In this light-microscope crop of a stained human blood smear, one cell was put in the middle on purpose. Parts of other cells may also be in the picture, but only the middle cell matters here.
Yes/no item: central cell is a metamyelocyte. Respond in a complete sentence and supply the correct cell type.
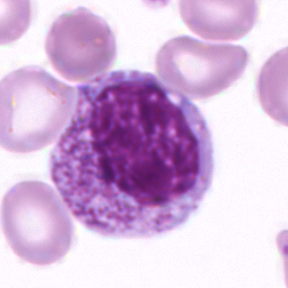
No, a metamyelocyte is not what the central cell is; it is a myelocyte.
